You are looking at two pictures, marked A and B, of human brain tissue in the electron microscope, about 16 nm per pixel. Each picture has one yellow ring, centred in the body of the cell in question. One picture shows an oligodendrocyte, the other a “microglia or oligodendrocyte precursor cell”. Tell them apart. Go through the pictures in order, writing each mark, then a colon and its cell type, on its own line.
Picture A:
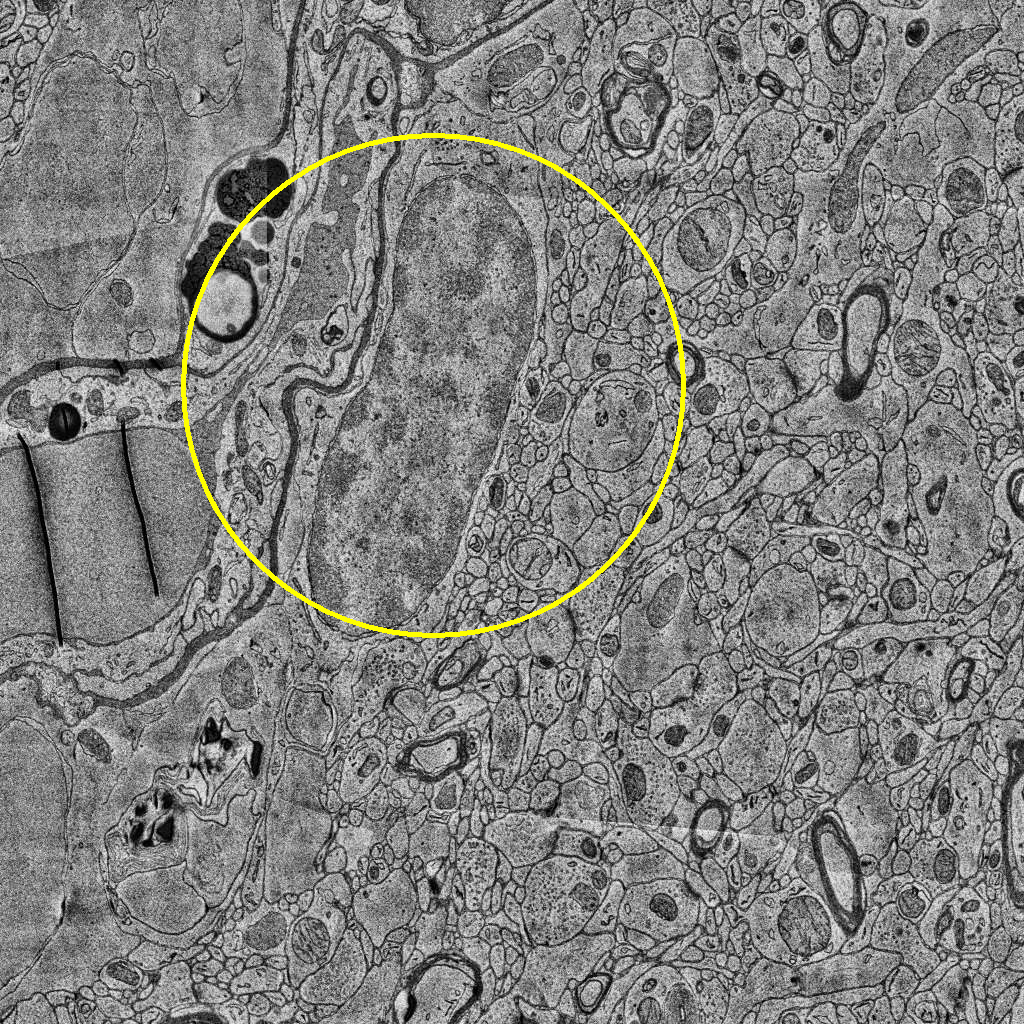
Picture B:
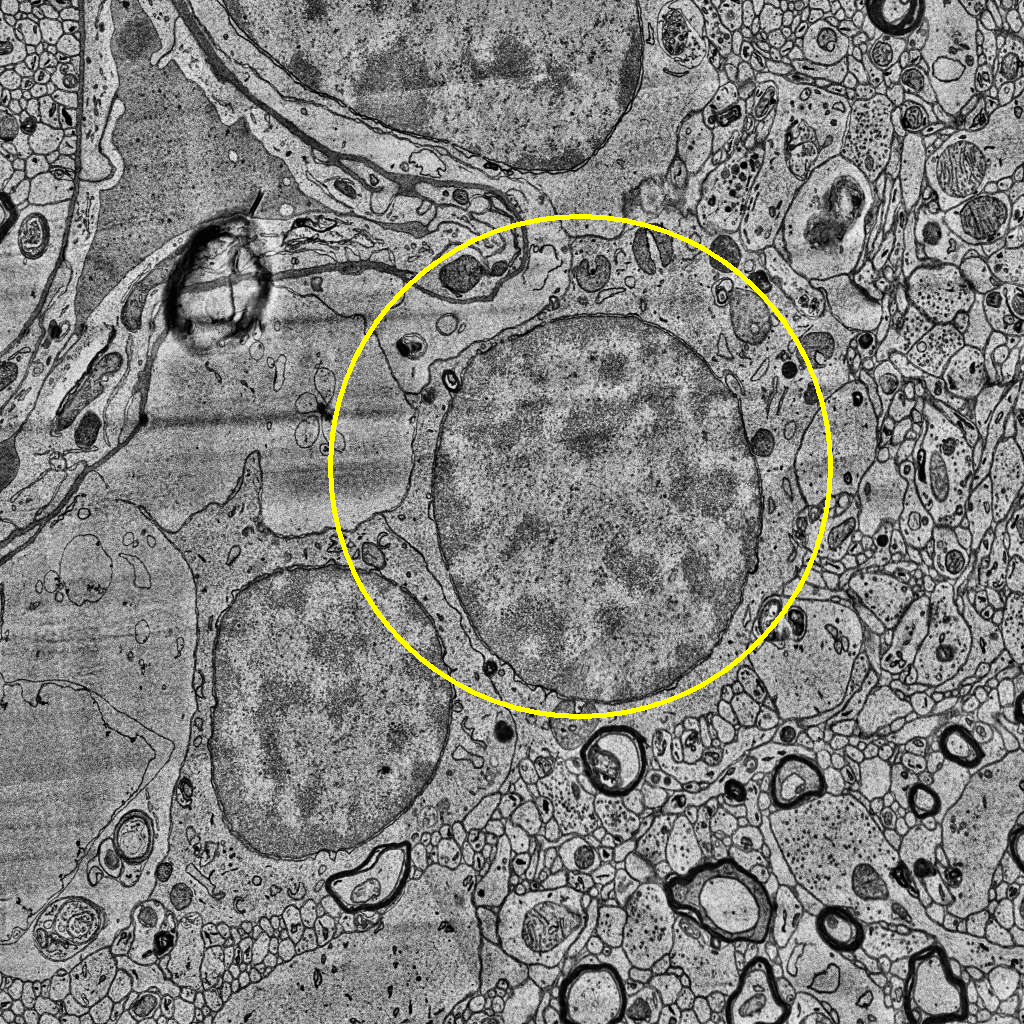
A: microglia or oligodendrocyte precursor cell
B: oligodendrocyte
